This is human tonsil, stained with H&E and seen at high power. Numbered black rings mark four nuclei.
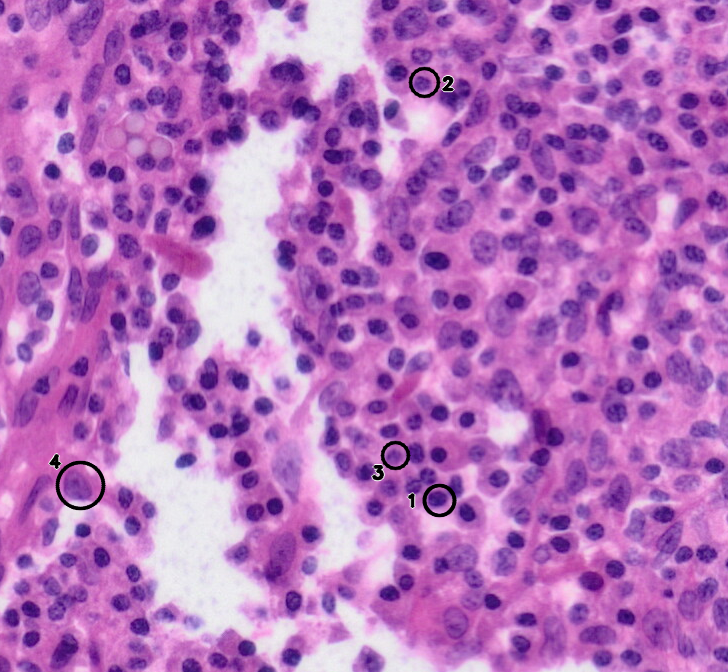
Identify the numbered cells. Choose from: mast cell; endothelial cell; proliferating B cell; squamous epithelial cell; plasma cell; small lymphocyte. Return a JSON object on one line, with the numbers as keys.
{"1": "plasma cell", "2": "plasma cell", "3": "plasma cell", "4": "squamous epithelial cell"}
